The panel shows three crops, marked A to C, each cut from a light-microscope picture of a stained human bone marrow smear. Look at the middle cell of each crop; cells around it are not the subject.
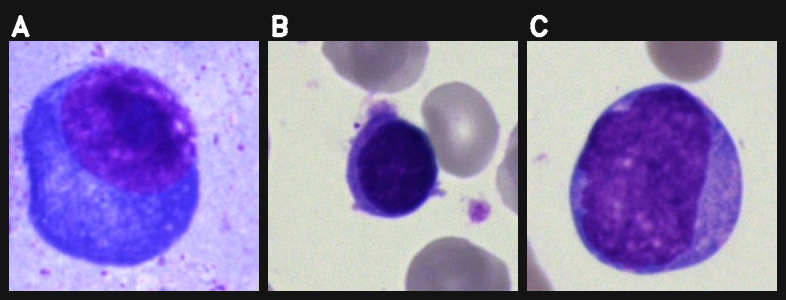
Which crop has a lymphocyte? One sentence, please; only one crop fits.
The crop marked B is the one in which a lymphocyte is shown.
